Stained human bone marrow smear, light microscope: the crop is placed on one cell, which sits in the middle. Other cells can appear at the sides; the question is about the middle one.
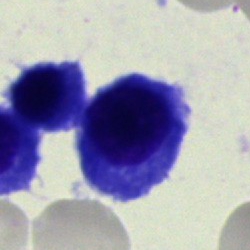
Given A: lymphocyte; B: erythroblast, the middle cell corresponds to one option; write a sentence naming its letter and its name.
The central cell, an erythroblast, is correctly identified by option B.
